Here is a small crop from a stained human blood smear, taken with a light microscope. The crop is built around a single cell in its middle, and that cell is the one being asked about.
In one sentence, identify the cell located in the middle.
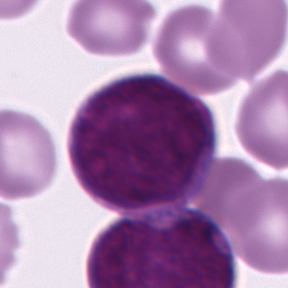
Centrally within this crop lies a myeloblast.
